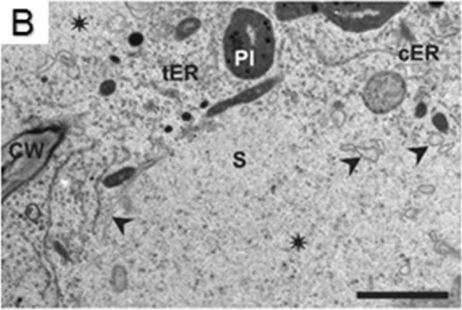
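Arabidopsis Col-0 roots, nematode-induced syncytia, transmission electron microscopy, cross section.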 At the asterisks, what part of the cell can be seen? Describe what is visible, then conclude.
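The asterisks sit in finely granular cytoplasm without membrane-bound organelles. Plastids and reticulum membranes lie only at the edge of this area.
Organelle-free regions.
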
